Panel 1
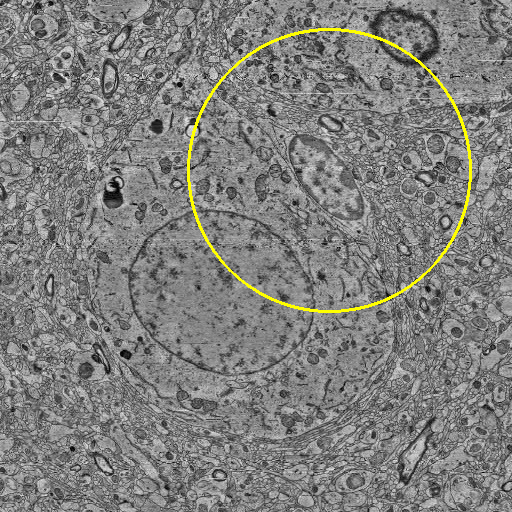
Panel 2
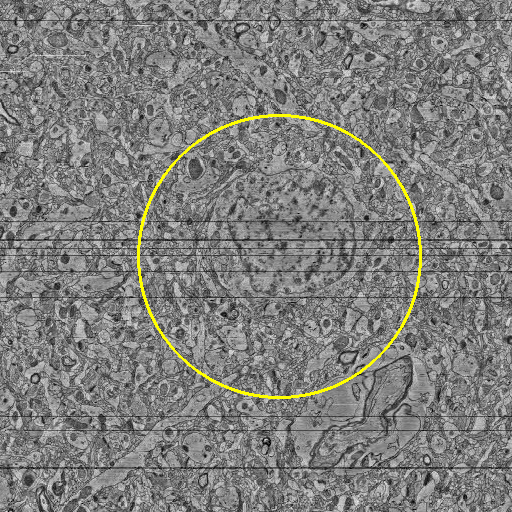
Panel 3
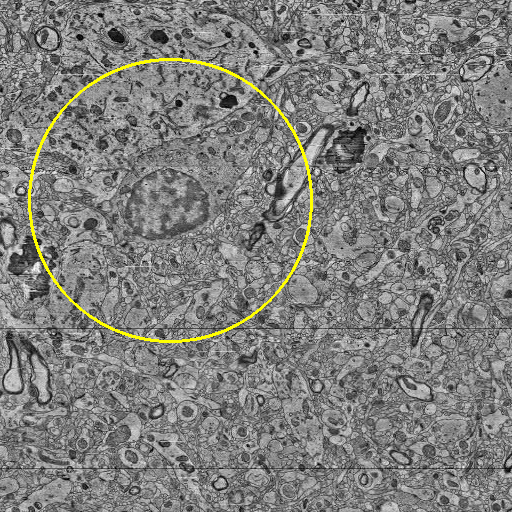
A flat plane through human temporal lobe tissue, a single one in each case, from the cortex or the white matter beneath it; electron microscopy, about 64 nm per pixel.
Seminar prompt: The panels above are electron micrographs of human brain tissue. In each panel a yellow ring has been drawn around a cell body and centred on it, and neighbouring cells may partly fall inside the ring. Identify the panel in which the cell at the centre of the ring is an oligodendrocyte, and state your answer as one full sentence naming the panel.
Panel 3 has it at the centre of its ring.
